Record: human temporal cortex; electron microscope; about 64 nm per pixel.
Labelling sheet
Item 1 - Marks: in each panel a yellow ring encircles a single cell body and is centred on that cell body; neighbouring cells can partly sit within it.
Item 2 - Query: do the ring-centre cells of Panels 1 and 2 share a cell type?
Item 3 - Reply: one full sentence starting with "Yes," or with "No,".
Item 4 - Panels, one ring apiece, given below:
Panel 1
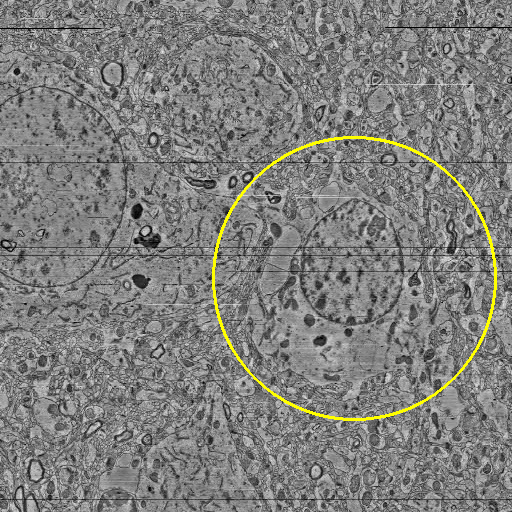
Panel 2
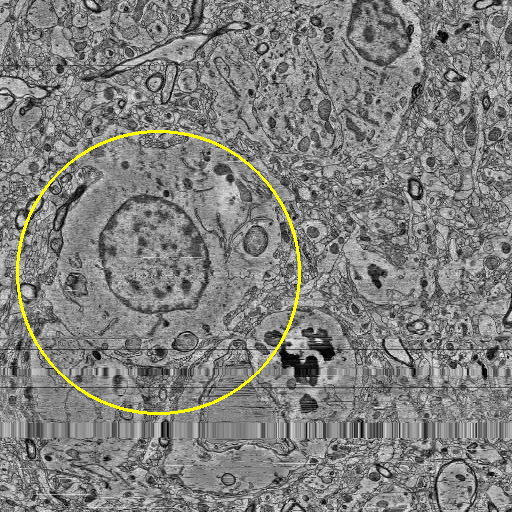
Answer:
Yes, Panel 1 and Panel 2 show one cell type at the centres of their rings.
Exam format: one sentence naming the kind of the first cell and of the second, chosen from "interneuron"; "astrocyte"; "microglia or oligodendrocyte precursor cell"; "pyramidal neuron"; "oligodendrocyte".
Each of the ringed cells, first and second, is an astrocyte.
